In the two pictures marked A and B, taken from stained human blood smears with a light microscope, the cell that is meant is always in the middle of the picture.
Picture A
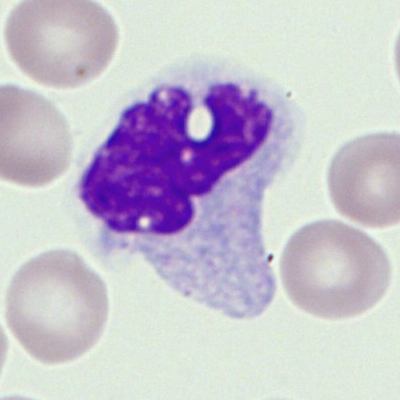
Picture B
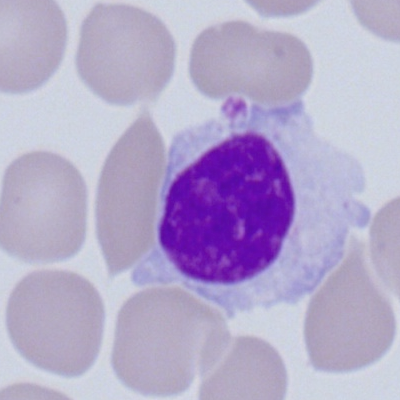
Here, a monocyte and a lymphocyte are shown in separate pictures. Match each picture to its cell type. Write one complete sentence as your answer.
It is picture A that shows a monocyte, and picture B that shows a lymphocyte.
